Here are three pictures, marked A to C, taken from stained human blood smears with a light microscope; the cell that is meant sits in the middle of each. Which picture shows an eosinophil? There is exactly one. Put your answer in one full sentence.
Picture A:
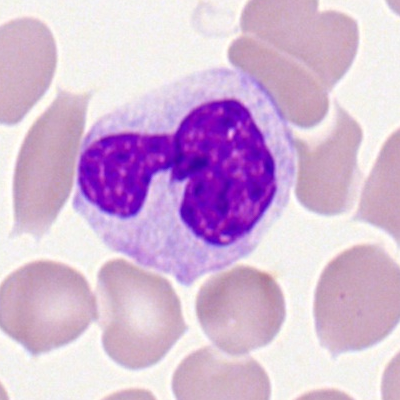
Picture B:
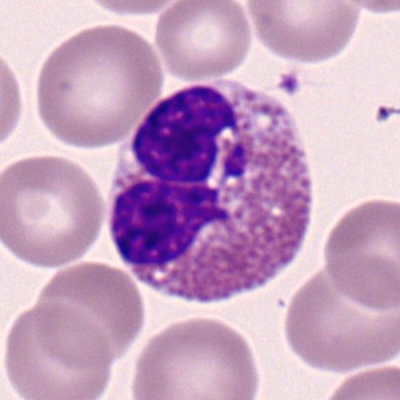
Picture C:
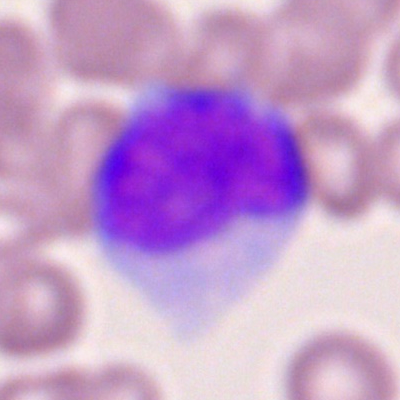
Picture B shows the eosinophil.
